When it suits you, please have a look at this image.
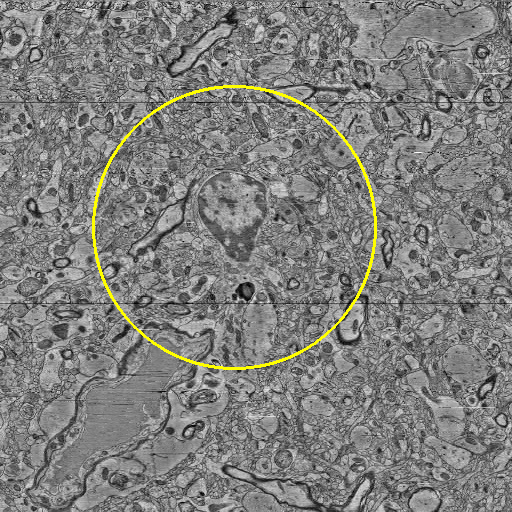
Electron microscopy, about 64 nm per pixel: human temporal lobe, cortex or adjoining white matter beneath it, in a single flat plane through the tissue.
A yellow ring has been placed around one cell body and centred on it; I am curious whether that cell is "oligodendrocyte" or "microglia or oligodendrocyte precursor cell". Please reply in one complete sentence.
The ringed cell, a microglial cell or oligodendrocyte precursor cell, has its body at the centre of the yellow ring.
